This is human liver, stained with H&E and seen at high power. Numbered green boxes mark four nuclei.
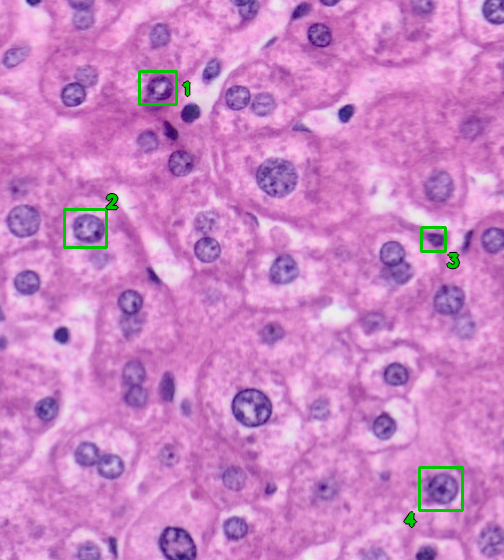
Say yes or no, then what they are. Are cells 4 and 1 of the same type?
Yes, cells 4 and 1 are of one type, both being hepatocytes.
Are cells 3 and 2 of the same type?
No, that's wrong; cell 3 is a Kupffer cell and cell 2 is a hepatocyte.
